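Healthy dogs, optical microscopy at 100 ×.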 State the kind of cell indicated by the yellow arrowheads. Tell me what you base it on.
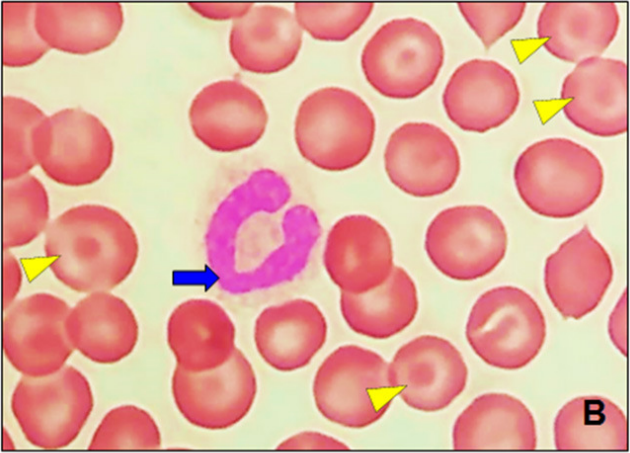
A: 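Codocytes. The marked red cells have a dark central spot. A pale ring surrounds the central spot within a darker rim.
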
